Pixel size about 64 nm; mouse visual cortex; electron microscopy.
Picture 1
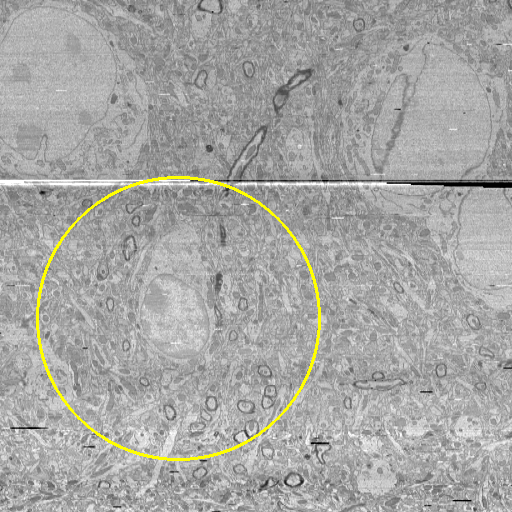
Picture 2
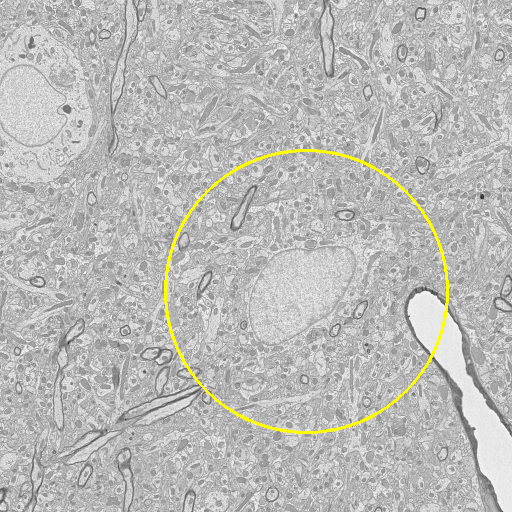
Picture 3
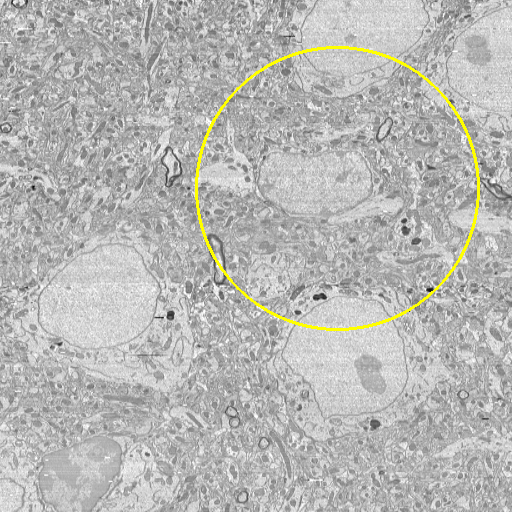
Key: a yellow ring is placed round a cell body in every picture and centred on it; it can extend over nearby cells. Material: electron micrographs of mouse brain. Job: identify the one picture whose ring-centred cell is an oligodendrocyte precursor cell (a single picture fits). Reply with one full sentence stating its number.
Picture 3 is the one with the sought cell at the centre of its ring.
